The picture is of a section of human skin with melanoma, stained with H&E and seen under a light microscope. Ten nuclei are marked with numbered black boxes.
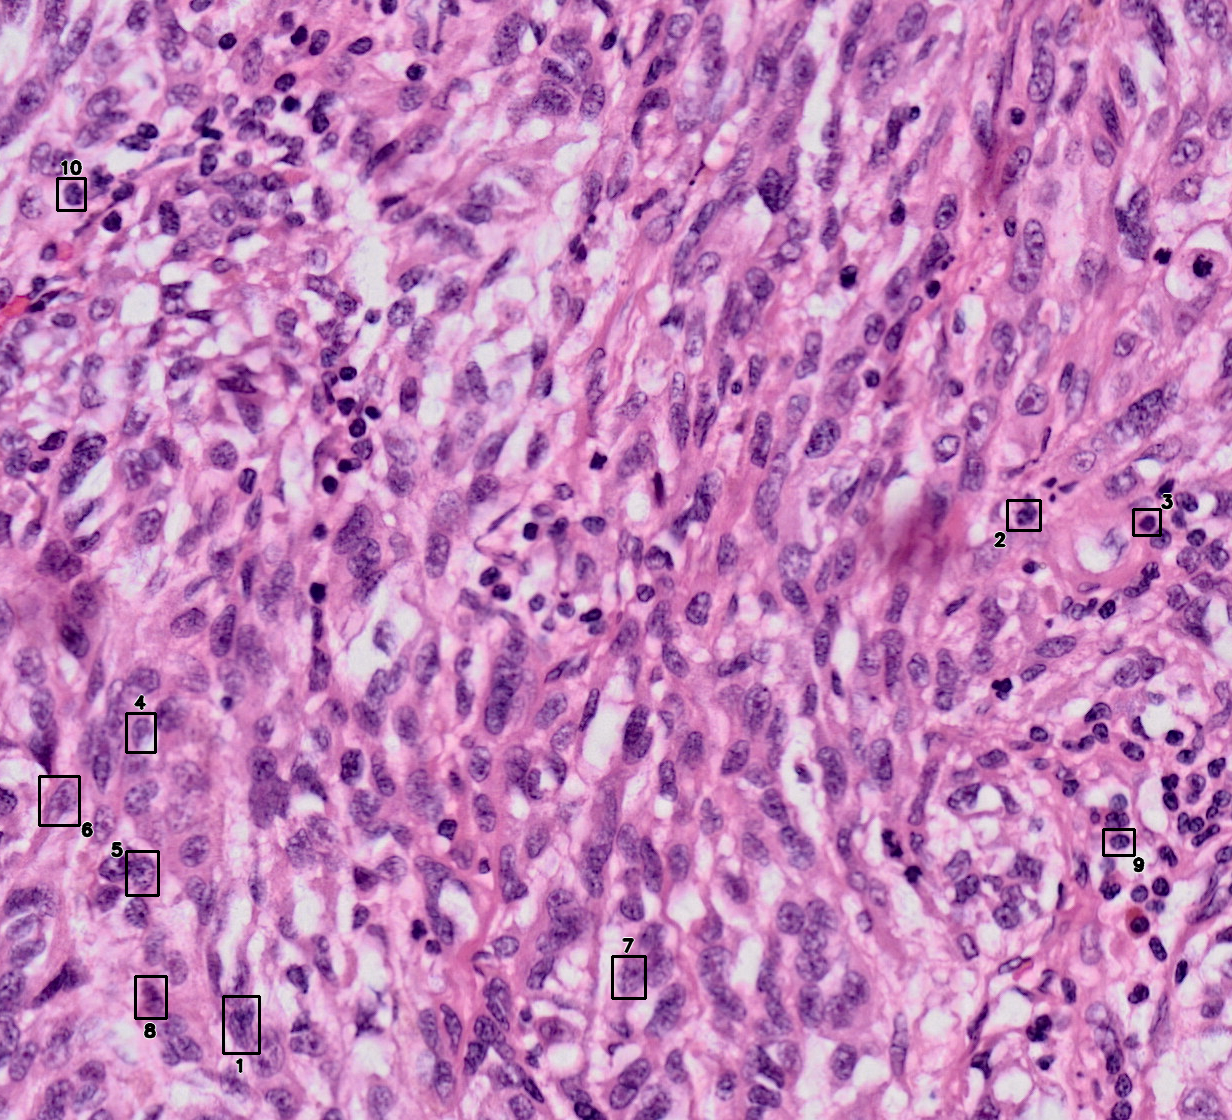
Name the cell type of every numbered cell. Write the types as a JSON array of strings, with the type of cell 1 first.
["melanoma cell", "lymphocyte", "lymphocyte", "melanoma cell", "melanoma cell", "melanoma cell", "melanoma cell", "melanoma cell", "lymphocyte", "lymphocyte"]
